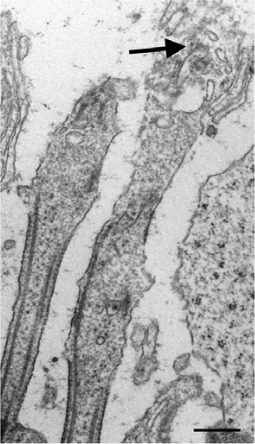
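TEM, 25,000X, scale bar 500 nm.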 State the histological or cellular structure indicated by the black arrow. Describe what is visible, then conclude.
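Open vesicular structures. The arrow points at loose, rounded and open membrane profiles at the tip of a process.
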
